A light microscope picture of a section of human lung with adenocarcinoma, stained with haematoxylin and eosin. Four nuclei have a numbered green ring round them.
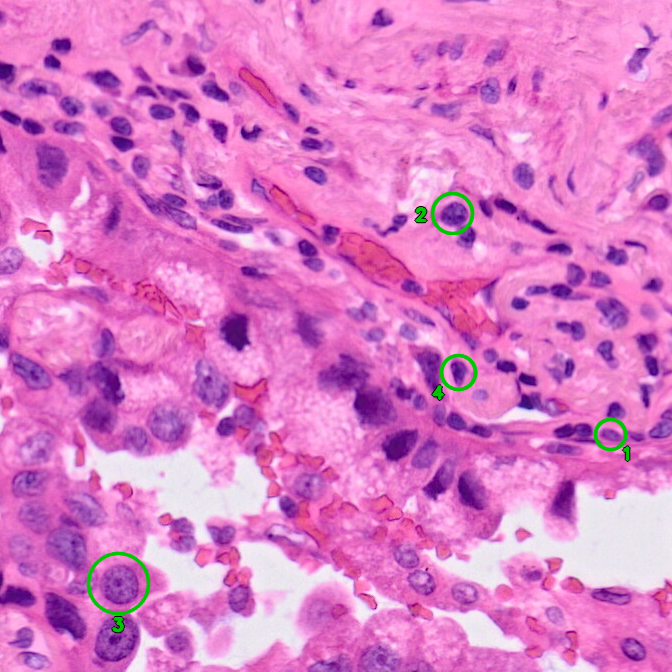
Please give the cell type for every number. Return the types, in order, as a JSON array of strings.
["lymphocyte", "lymphocyte", "carcinoma cell", "lymphocyte"]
